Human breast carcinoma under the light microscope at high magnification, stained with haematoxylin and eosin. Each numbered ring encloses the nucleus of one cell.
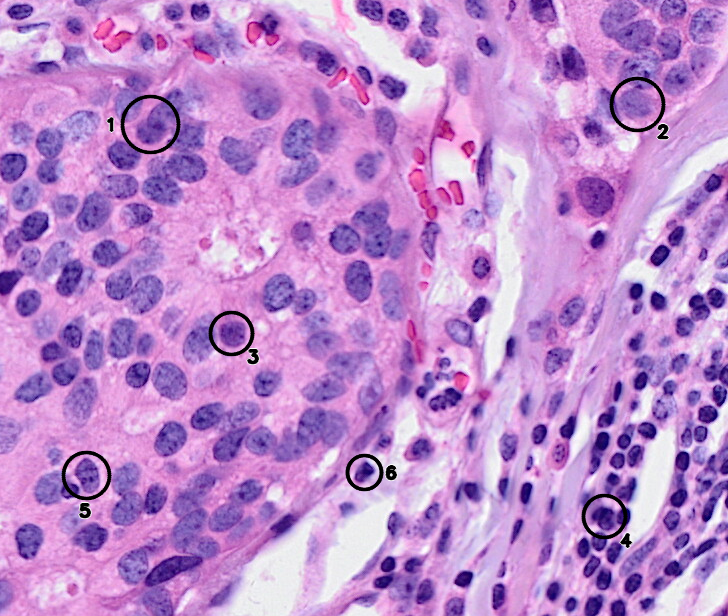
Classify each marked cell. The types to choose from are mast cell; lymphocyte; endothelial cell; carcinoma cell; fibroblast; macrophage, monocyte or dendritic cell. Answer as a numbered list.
1. carcinoma cell
2. carcinoma cell
3. carcinoma cell
4. lymphocyte
5. carcinoma cell
6. lymphocyte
